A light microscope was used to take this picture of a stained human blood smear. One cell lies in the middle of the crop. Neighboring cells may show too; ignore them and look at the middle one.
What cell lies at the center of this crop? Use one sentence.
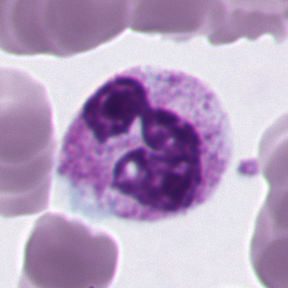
This crop is built around a neutrophil at its centre.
